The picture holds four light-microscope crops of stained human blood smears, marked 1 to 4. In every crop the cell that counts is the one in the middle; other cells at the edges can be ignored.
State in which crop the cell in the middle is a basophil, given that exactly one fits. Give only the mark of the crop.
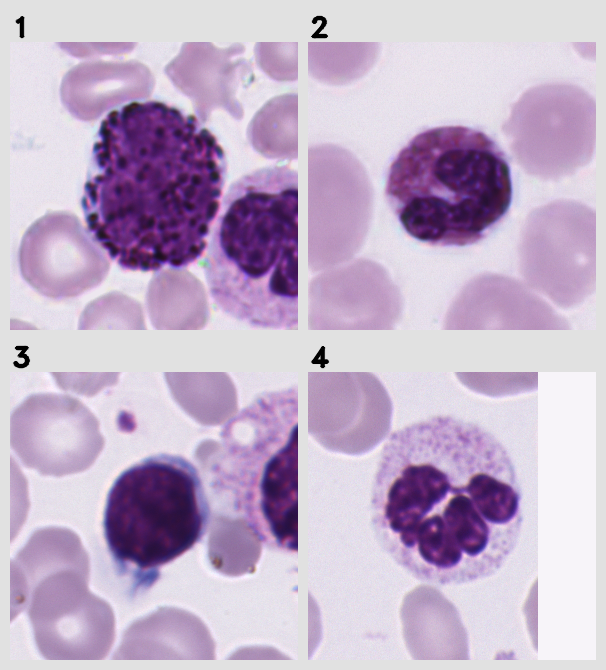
1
